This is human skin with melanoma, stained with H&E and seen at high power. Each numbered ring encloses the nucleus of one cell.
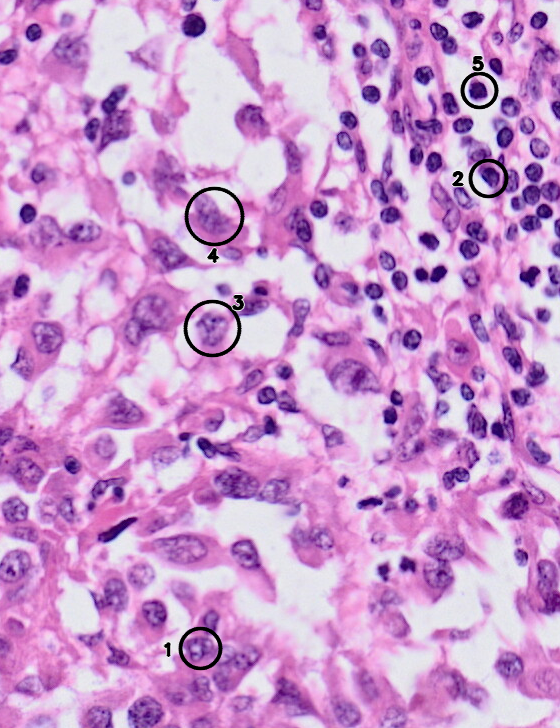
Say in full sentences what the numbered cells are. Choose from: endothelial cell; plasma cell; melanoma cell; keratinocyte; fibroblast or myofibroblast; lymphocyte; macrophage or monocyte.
Cell 1 is a melanoma cell, cell 2 is a lymphocyte, cell 3 is a melanoma cell, cell 4 is a melanoma cell and cell 5 is a lymphocyte.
